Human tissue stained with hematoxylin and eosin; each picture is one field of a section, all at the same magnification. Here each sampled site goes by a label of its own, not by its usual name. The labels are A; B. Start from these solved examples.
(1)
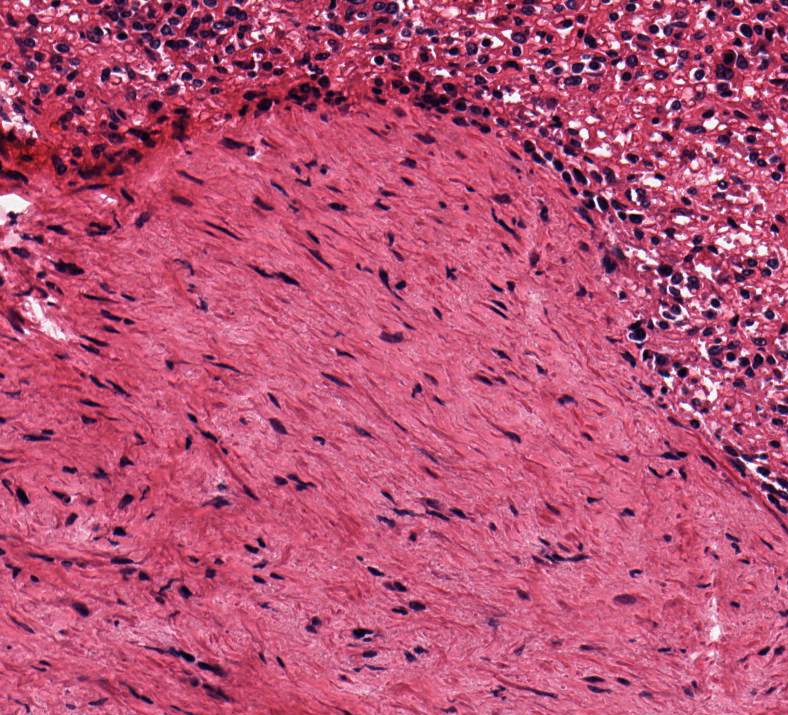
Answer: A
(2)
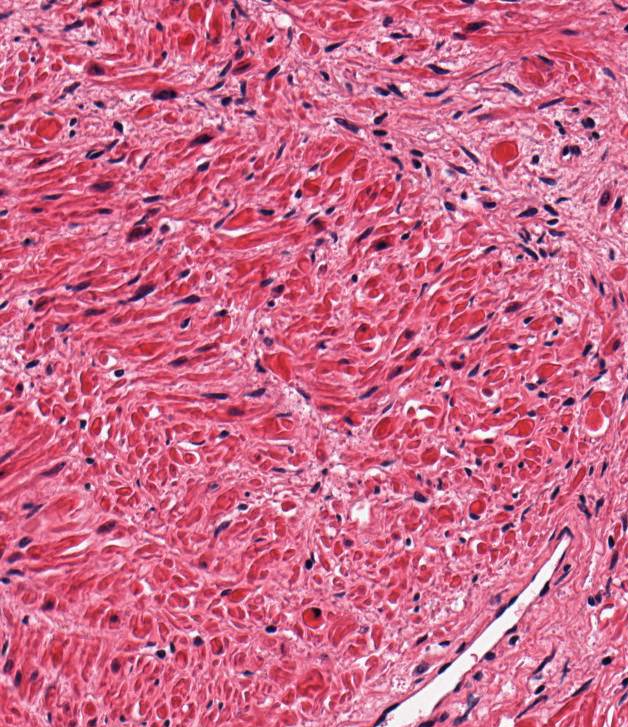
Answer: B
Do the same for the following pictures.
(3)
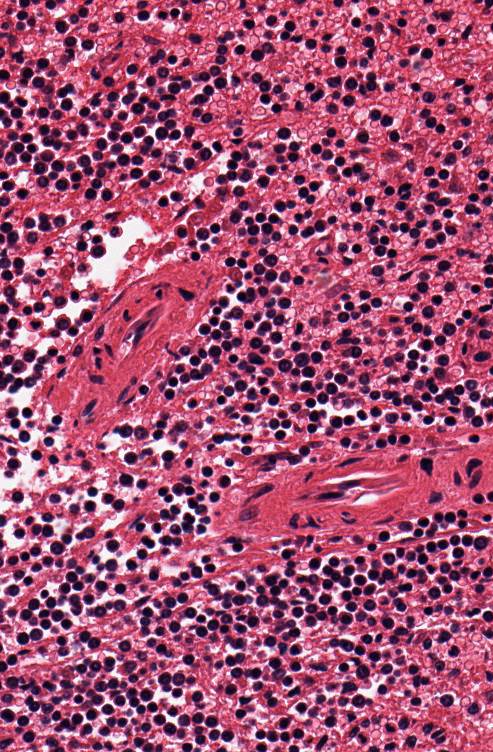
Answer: A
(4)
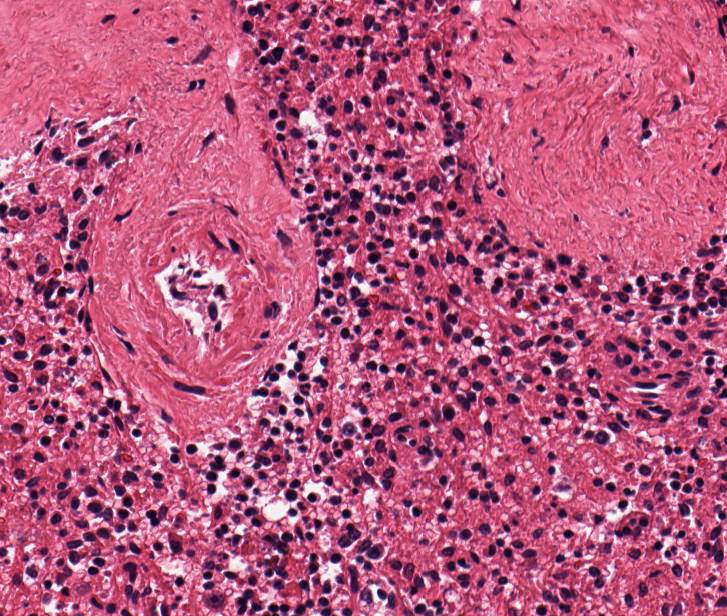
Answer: A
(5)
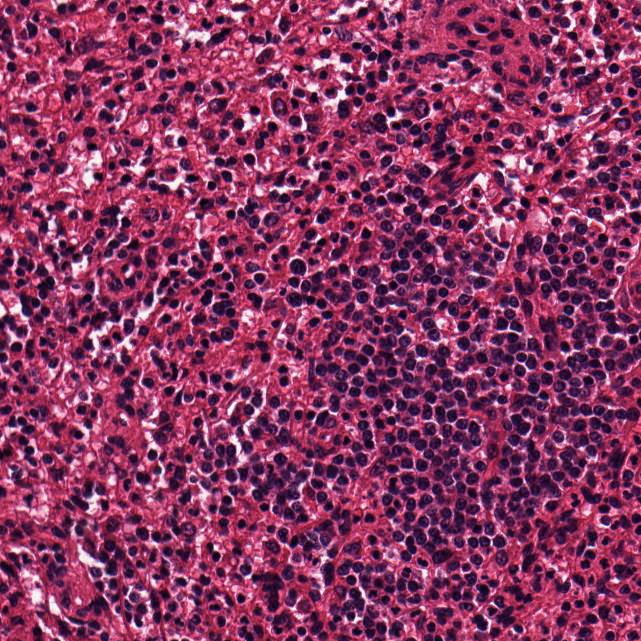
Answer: A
